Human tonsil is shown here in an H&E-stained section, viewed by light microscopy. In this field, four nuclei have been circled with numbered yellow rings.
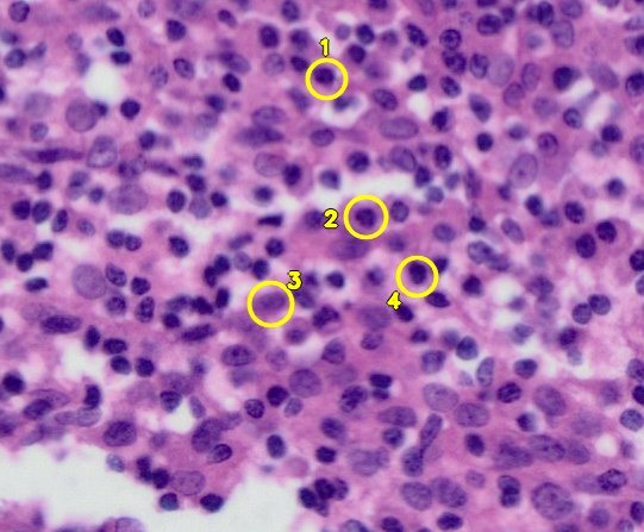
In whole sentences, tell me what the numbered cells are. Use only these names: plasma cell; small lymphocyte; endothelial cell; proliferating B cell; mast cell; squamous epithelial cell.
Cell 1 is a plasma cell, cell 2 is a plasma cell, cell 3 is a squamous epithelial cell and cell 4 is a plasma cell.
